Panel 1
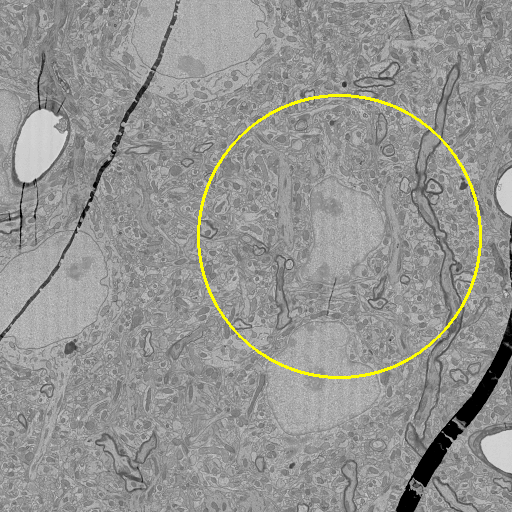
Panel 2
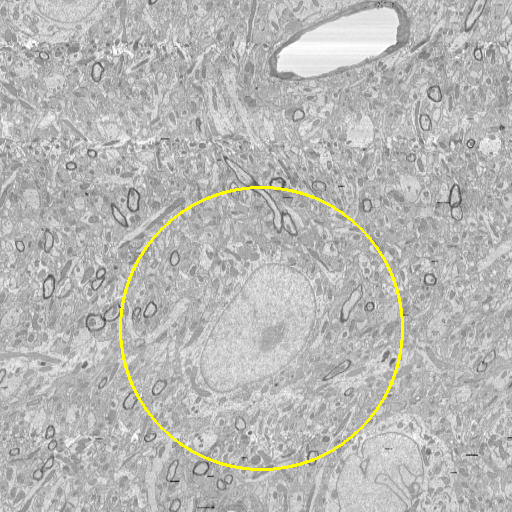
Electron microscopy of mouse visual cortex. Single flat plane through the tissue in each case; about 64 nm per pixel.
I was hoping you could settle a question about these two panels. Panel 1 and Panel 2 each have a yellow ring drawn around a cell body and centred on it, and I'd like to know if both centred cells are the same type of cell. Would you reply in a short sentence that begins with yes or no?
Yes, both are the same type of cell.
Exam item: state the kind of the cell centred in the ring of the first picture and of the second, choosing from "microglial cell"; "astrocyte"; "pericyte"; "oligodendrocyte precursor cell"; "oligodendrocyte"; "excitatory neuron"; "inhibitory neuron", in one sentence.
The ring centre holds an astrocyte in each of the two pictures.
